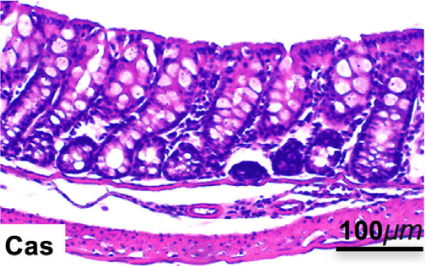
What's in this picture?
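This is a section through the intestinal wall, with the mucosa on top made of closely packed, tube-like glands cut lengthwise. The glands are lined by columnar epithelial cells with purple nuclei, and scattered among them are many goblet cells, each swollen by a large, round, pale vacuole that looks almost empty in this stain. Between the glands lies a little pink connective tissue with small nuclei. Beneath the mucosa is a loose, pale layer with thin strands and small vessels, the submucosa, and under it a thick pink band of smooth muscle with flattened, elongated nuclei.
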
